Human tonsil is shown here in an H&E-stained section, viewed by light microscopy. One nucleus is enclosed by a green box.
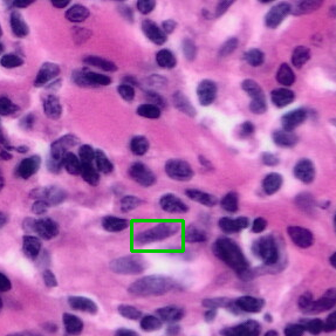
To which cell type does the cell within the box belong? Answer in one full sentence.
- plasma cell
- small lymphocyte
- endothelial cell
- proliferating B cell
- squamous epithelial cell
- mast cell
The cell type represented by the cell within the box is that of an endothelial cell.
